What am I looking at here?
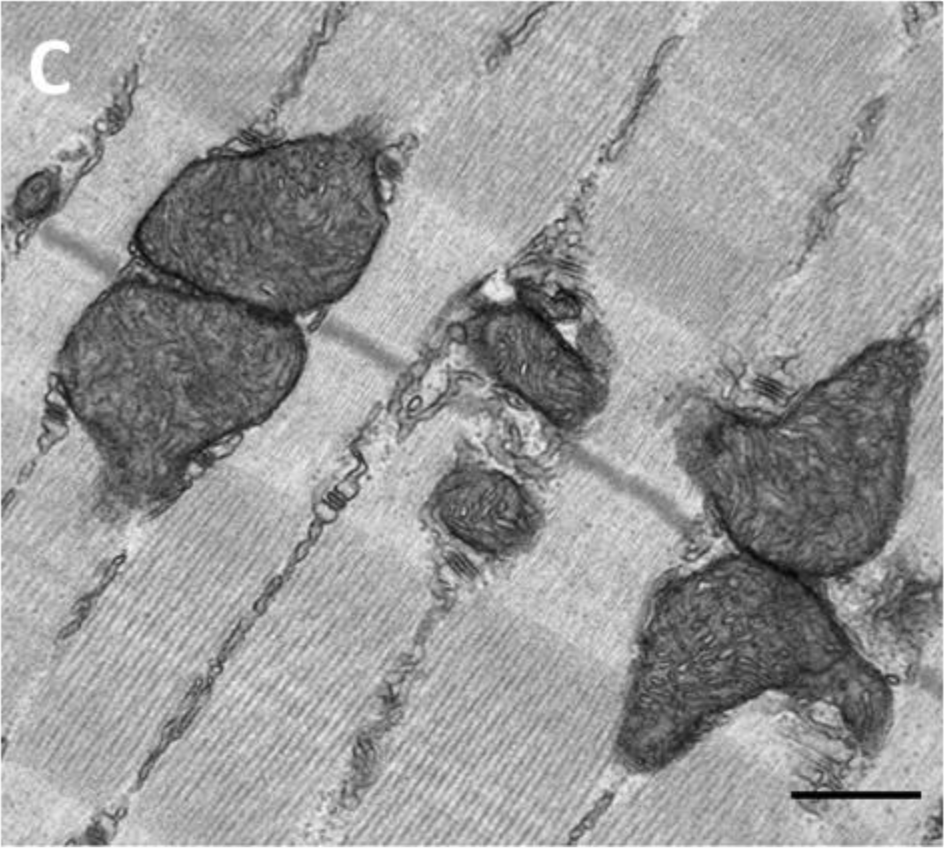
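Skeletal muscle fibre in longitudinal section, with large mitochondria lying between myofibrils. The myofibrils run diagonally as finely striated filament bundles crossed by dark Z-lines. Paired mitochondria sit on either side of a Z-line, pressed against one another, and are irregularly rounded to triangular. Their matrix is crowded with densely packed, tortuous cristae, giving a dark, textured appearance. Smaller mitochondria lie in a narrower space between myofibrils. Thin membranous profiles of the sarcoplasmic reticulum and small stacked membranes run along the myofibril borders beside the mitochondria.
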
